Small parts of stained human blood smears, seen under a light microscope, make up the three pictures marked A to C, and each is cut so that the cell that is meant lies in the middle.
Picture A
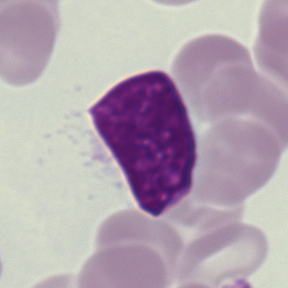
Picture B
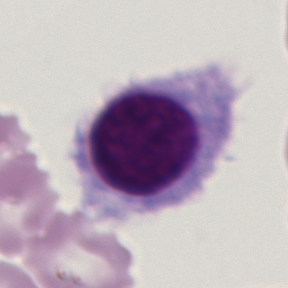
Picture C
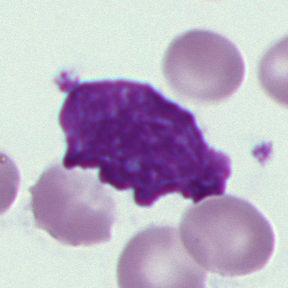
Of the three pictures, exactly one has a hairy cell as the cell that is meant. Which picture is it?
B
